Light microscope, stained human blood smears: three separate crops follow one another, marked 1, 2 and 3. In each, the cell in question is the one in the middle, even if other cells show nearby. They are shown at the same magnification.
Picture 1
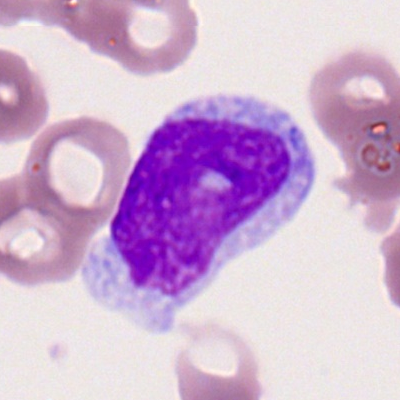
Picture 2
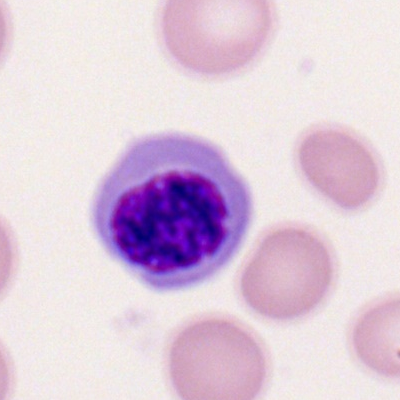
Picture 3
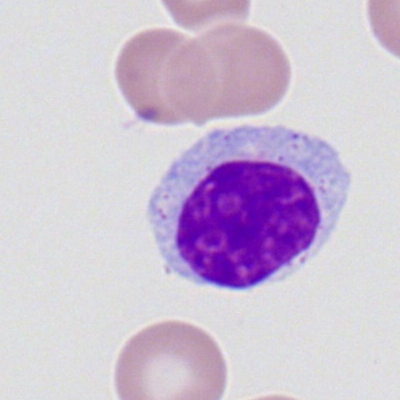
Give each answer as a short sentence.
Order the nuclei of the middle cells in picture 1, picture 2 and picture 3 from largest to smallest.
Largest first: 1, 3, 2.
